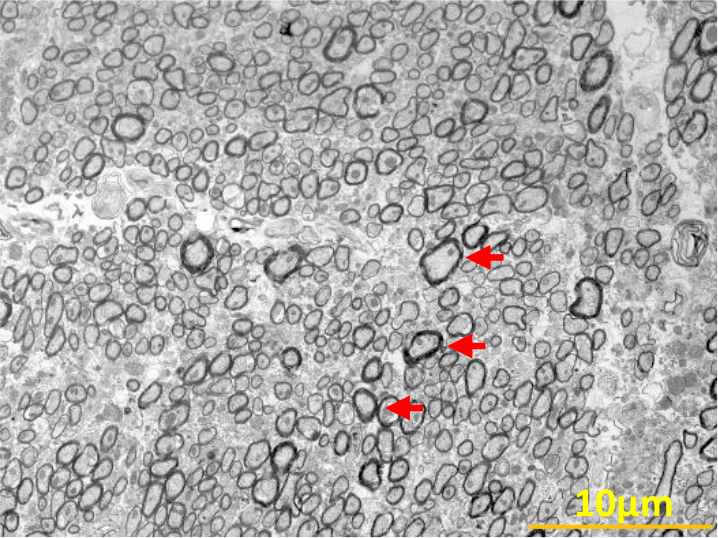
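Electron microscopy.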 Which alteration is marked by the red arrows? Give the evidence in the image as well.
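Abnormal myelination. The arrowed fibres have irregular, thick or misshapen dark rings unlike their neighbours.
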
